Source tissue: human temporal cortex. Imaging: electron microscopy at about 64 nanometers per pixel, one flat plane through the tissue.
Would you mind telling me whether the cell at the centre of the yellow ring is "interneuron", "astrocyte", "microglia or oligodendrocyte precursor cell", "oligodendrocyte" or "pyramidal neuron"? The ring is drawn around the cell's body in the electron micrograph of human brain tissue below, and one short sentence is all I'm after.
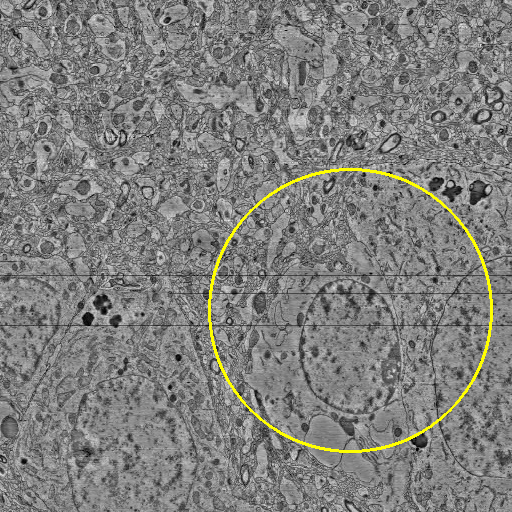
In the centre of the ring lies an astrocyte.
